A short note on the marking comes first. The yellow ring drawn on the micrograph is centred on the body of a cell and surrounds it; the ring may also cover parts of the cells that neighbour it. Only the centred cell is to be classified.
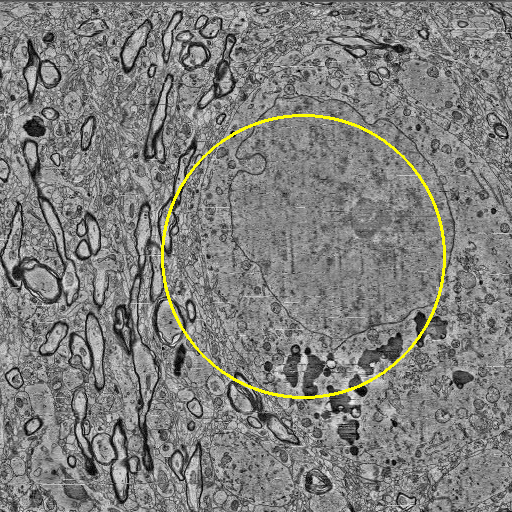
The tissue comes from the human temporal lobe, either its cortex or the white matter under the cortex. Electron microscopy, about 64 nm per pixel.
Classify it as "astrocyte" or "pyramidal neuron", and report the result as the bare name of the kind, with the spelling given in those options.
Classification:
pyramidal neuron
